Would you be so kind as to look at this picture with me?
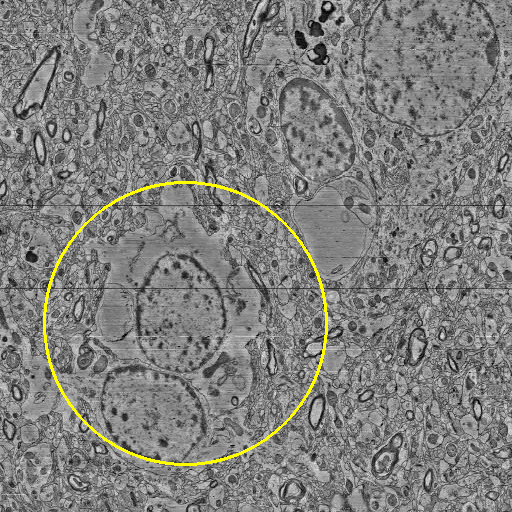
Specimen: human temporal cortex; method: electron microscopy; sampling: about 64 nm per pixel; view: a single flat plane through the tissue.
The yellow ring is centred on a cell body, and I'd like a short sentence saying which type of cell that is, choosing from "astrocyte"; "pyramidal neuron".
The cell body in the ring belongs to an astrocyte.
